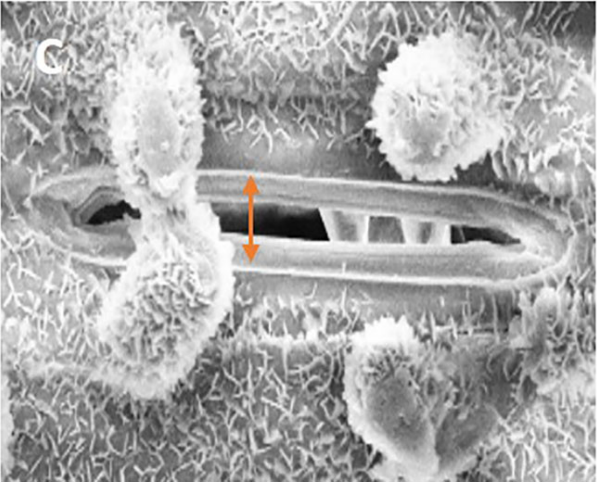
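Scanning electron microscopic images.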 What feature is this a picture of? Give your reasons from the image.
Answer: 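Stomata. An elongated slit-like pore runs horizontally across the centre of the image. The pore is bordered above and below by a pair of narrow, raised lips. A dark gap is visible inside the open pore.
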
